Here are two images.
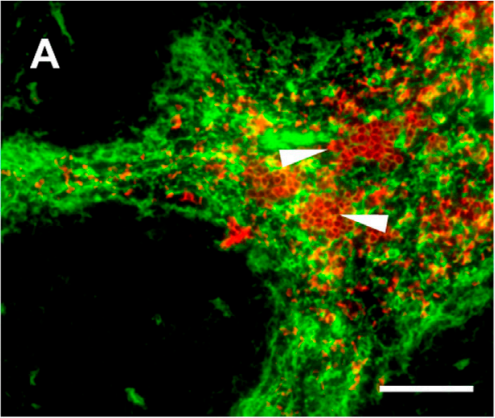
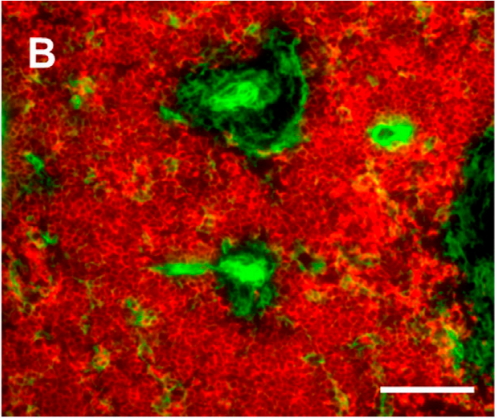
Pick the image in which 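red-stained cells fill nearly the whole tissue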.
The second image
